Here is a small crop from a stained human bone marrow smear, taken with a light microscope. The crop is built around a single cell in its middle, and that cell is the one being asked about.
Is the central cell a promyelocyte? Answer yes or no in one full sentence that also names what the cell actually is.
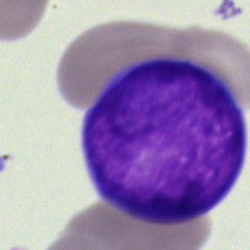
No, the centre cell is not a promyelocyte but a blast.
